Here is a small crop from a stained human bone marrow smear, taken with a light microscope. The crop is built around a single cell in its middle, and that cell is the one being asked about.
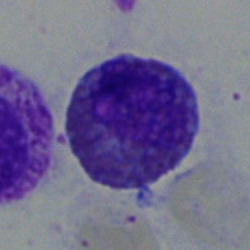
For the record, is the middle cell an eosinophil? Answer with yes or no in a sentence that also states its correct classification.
Yes, as for the central cell, it is an eosinophil.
